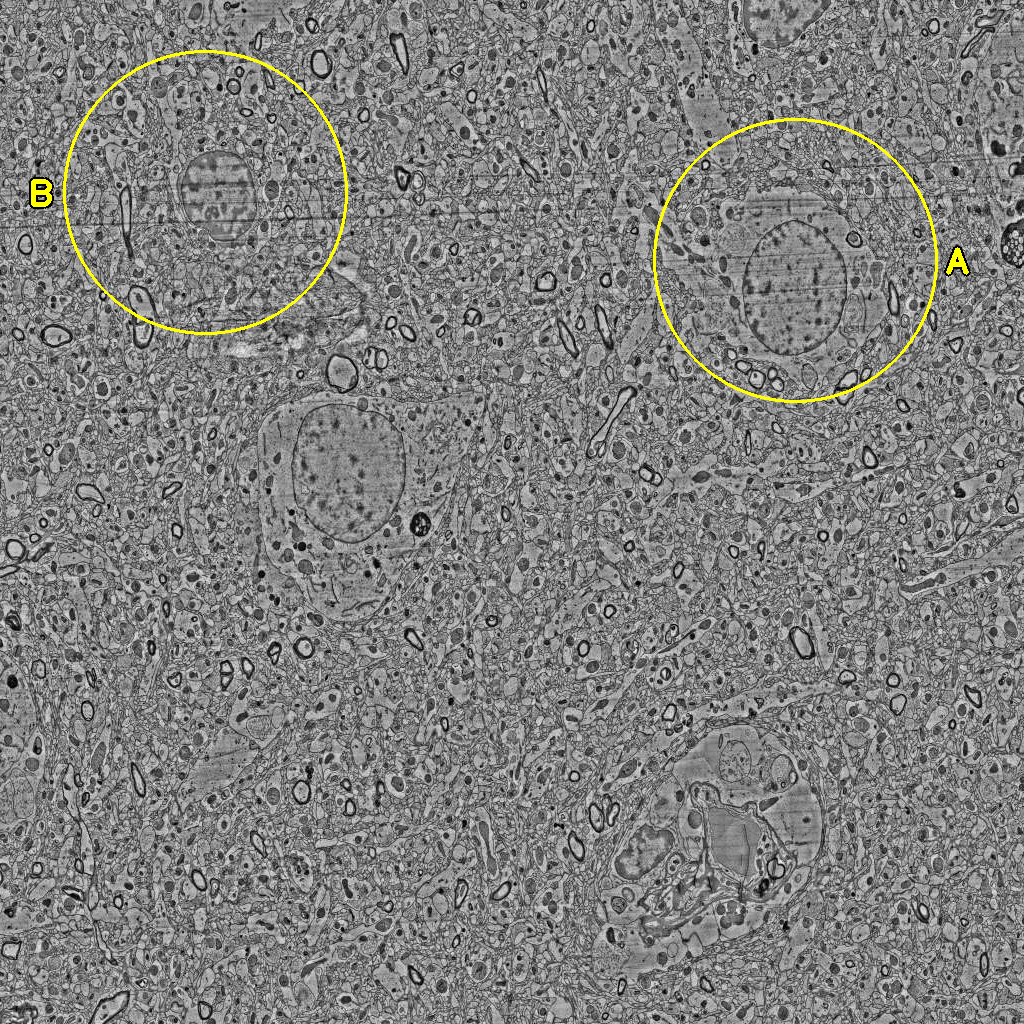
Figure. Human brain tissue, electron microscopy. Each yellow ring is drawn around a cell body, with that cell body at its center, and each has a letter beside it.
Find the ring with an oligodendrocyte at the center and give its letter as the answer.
B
